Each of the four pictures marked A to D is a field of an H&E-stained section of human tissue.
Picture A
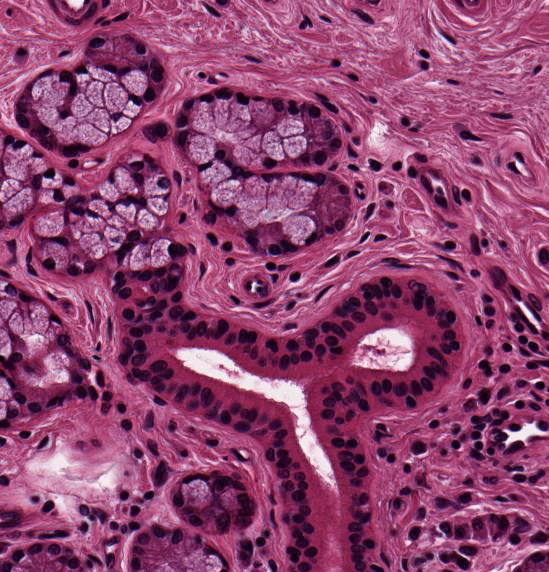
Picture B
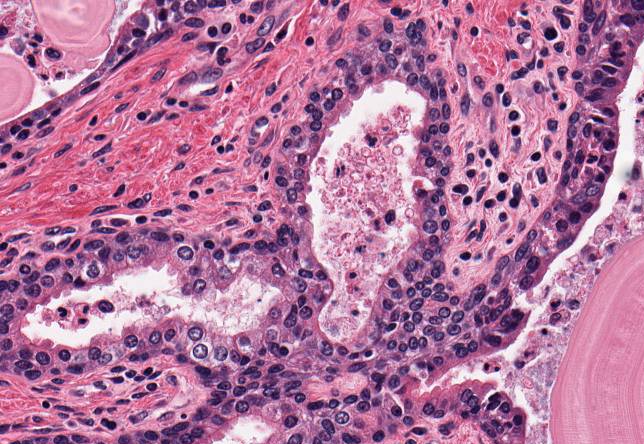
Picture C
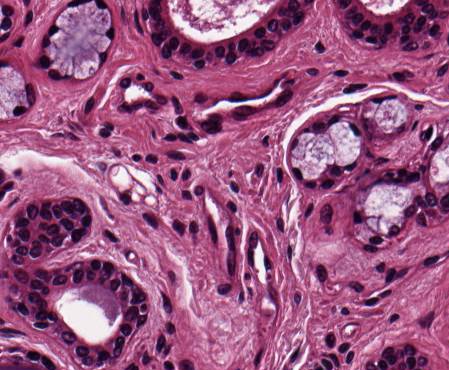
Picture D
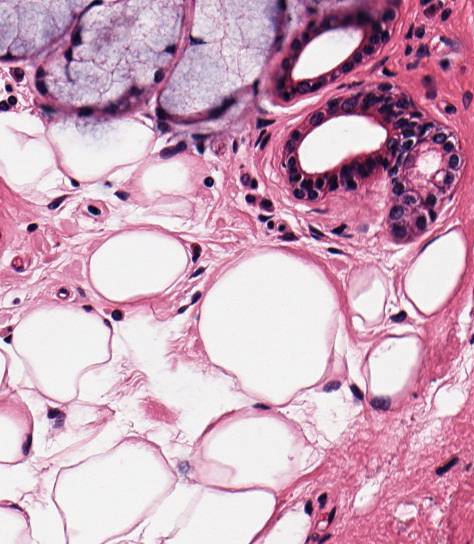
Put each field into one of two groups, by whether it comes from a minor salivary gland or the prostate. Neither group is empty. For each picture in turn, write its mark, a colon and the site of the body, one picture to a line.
A: minor salivary gland
B: prostate
C: minor salivary gland
D: minor salivary gland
